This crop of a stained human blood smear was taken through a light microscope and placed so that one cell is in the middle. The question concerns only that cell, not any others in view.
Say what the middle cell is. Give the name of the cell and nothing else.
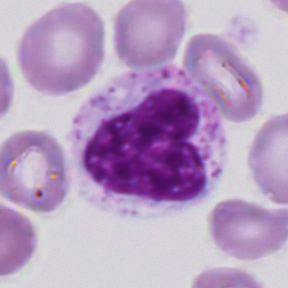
band neutrophil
